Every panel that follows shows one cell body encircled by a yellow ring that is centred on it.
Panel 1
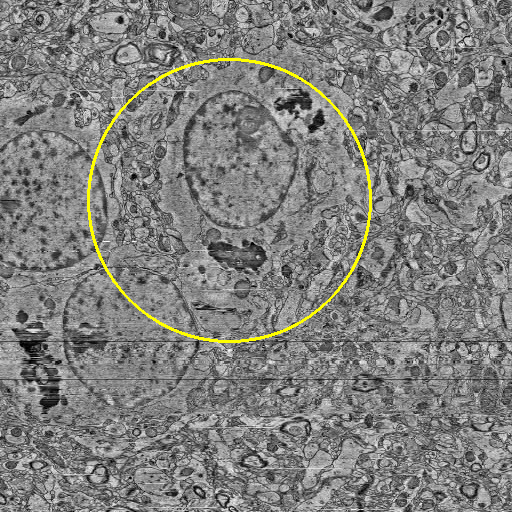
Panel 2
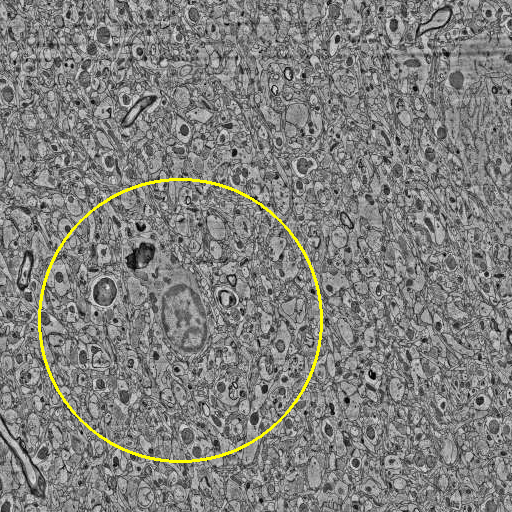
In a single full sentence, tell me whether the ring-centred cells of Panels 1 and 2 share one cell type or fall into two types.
In Panel 1 and Panel 2, the cells at the ring centres fall into two types.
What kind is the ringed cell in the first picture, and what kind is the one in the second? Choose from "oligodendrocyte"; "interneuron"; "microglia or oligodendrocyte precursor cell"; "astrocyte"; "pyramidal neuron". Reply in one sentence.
The first cell is an astrocyte; the second is an oligodendrocyte.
